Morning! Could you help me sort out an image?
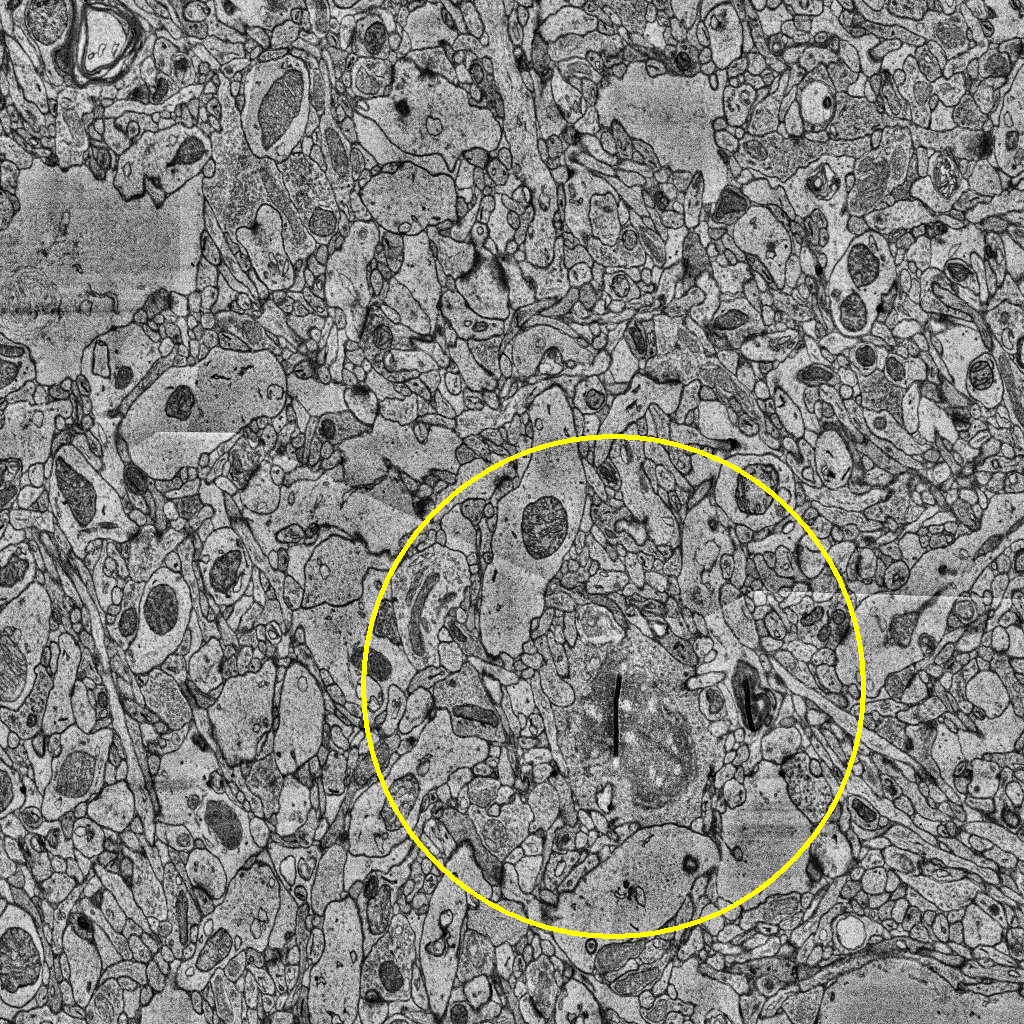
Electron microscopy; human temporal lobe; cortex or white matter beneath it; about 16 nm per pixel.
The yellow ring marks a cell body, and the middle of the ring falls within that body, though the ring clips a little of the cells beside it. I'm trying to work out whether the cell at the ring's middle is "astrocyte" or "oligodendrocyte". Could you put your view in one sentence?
The cell body at the ring's middle is that of an oligodendrocyte.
